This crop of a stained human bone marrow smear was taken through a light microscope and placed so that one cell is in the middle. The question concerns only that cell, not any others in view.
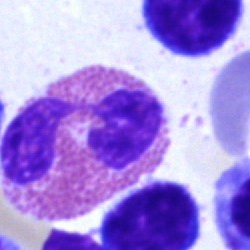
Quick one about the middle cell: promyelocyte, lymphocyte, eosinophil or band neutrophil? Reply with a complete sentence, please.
The central element of this crop is a cell, namely an eosinophil.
